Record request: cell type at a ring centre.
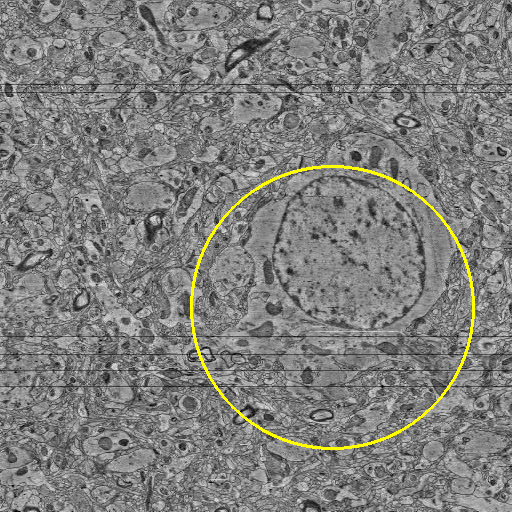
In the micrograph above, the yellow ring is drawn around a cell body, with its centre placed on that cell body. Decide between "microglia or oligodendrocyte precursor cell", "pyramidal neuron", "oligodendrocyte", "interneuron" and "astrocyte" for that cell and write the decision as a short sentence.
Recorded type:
The cell centred in the yellow ring is an astrocyte.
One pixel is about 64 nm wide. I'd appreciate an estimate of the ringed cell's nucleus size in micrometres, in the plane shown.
About 10 micrometres across in this plane, for the nucleus.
